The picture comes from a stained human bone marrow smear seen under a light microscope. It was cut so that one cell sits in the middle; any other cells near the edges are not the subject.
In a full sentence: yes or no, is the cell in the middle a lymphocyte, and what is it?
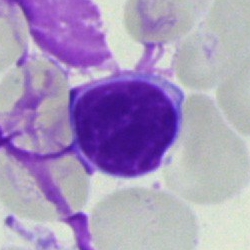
Yes, the centered cell in this field is a lymphocyte.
